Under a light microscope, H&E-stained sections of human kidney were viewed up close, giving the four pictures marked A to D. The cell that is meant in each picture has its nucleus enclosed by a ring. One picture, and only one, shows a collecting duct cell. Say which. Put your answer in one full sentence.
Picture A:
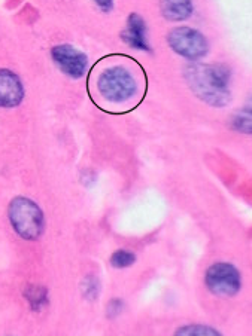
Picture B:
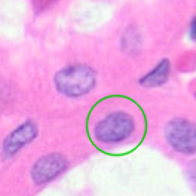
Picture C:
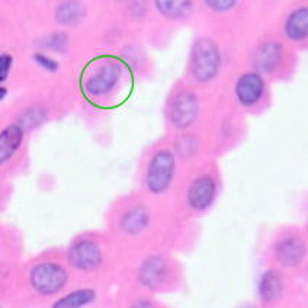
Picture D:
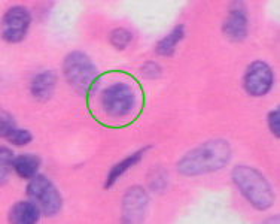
It is picture D that shows the collecting duct cell.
